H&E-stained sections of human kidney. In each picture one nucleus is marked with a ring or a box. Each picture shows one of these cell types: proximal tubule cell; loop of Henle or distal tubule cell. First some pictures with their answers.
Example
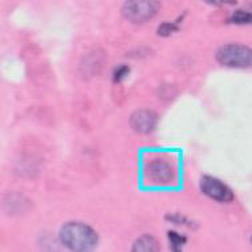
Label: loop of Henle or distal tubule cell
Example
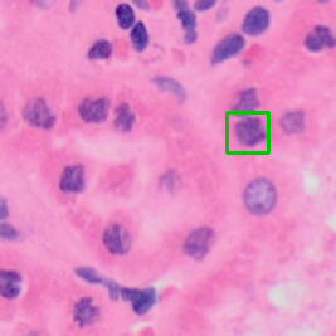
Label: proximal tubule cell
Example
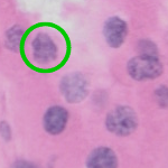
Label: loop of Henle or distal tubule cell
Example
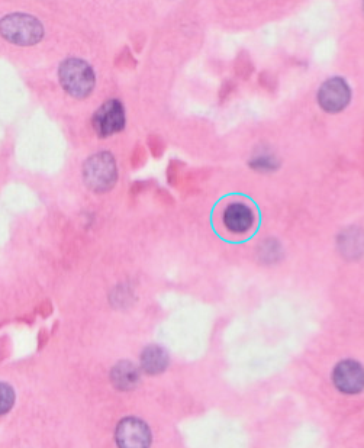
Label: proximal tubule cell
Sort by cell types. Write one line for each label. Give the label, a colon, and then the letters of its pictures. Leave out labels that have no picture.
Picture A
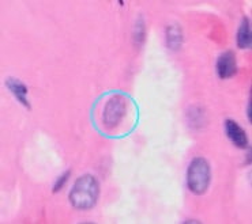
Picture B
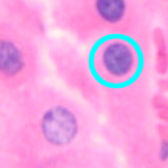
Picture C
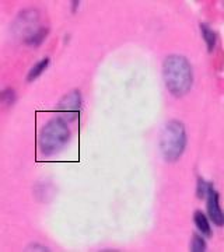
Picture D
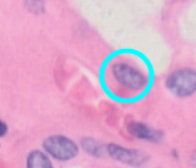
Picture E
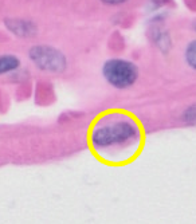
proximal tubule cell: B
loop of Henle or distal tubule cell: A, C, D, E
